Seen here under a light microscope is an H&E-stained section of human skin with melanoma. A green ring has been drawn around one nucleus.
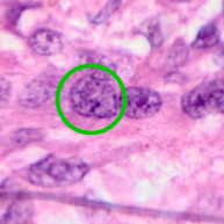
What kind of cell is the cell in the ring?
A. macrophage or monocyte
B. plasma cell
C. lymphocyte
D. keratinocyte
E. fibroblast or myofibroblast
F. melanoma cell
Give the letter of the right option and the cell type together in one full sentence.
Here the cell in the ring is a melanoma cell, which makes option F correct.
